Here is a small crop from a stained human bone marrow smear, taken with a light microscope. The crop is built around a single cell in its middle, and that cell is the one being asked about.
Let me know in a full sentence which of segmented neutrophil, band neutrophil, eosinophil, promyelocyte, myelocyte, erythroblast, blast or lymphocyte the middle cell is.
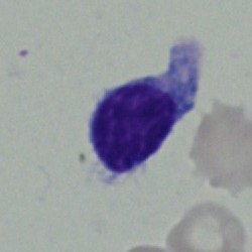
The centrally positioned cell in the crop represents a lymphocyte.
